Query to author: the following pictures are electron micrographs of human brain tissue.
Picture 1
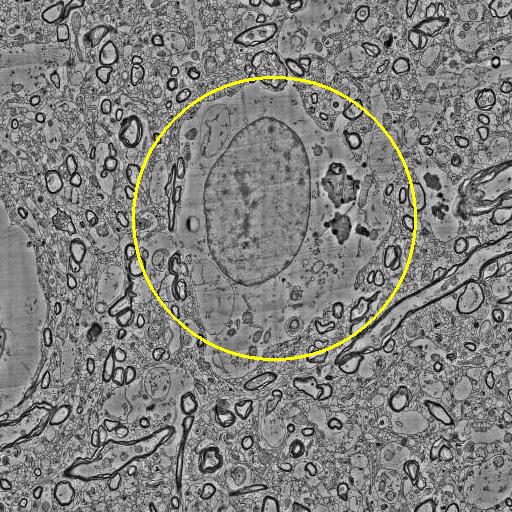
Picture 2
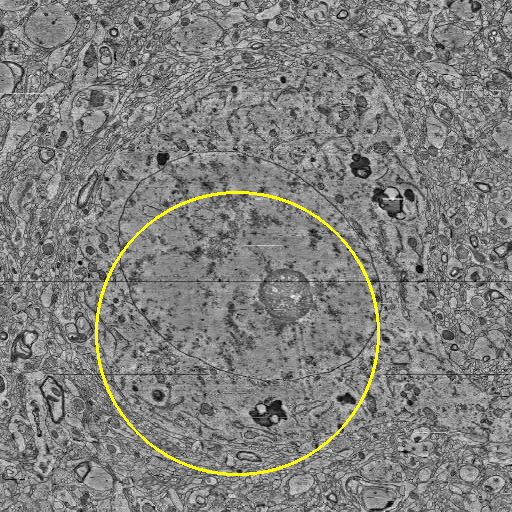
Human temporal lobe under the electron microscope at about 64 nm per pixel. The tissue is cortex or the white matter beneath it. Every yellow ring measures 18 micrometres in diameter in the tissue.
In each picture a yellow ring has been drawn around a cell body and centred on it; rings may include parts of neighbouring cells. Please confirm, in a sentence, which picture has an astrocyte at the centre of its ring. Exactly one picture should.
Picture 1 has it at the centre of its ring.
